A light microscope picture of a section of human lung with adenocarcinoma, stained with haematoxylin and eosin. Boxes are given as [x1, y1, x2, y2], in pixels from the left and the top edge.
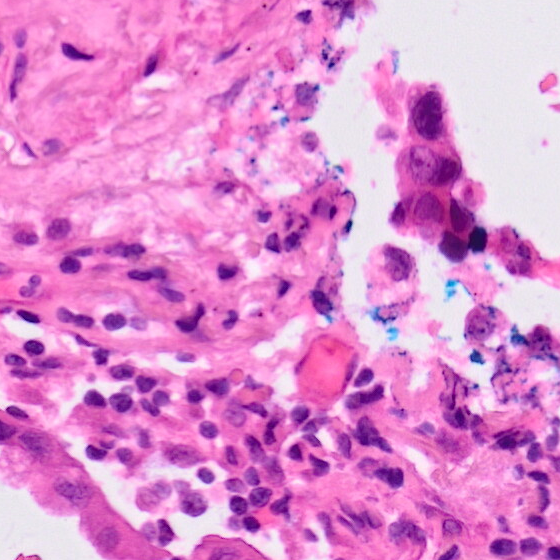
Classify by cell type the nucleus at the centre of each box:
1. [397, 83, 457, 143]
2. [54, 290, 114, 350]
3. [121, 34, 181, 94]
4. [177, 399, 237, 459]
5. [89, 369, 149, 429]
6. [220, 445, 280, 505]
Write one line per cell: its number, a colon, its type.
1: carcinoma cell
2: lymphocyte
3: smooth muscle cell or pericyte
4: lymphocyte
5: lymphocyte
6: lymphocyte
